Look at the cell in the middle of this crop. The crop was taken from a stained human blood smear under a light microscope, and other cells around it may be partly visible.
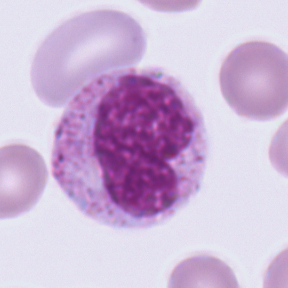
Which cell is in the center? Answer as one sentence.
The cell under consideration, at the middle of the crop, is a band neutrophil.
